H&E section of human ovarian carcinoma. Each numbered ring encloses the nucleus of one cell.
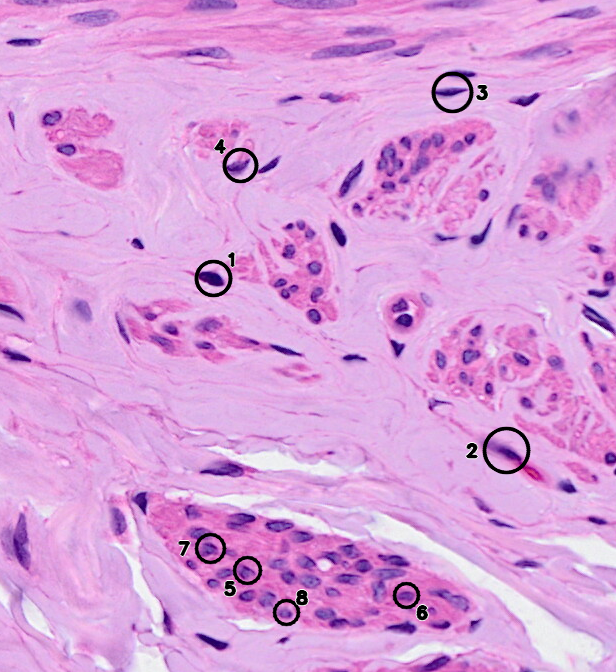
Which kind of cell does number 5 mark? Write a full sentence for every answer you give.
The correct answer for cell 5 is a smooth muscle cell.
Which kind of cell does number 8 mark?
The correct label for cell 8 is a smooth muscle cell.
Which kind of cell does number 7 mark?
Cell 7 in the field is a smooth muscle cell.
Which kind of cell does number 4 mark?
The cell that bears the number 4 is a fibroblast.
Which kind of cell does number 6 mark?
The cell that goes by number 6 is a smooth muscle cell.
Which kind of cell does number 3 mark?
The numbered cell 3 is identified here as a fibroblast.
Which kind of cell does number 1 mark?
The nucleus with number 1 is that of a lymphocyte.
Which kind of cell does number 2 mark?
The nucleus labelled 2 belongs to an endothelial cell.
